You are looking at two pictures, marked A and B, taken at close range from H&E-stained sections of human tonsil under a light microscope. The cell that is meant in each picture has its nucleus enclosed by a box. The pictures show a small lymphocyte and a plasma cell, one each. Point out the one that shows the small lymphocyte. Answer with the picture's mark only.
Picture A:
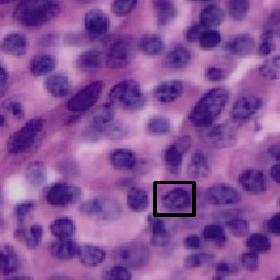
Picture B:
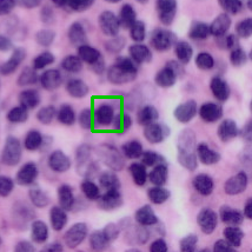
B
